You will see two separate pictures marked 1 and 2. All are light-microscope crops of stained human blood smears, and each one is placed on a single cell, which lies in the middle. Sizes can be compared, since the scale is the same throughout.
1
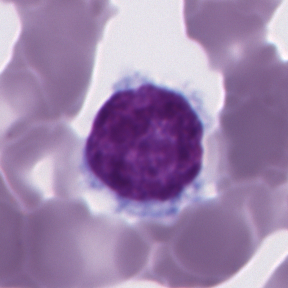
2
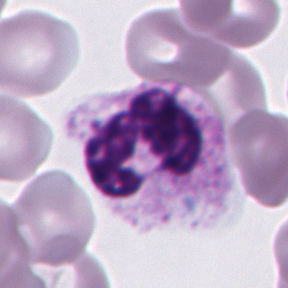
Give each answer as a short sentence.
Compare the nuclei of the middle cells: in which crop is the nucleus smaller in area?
The nucleus in crop 2 is smaller; the one in crop 1 has about 1.5 times its area.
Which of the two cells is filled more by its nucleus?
It is the cell in crop 1 that is filled more by its nucleus.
